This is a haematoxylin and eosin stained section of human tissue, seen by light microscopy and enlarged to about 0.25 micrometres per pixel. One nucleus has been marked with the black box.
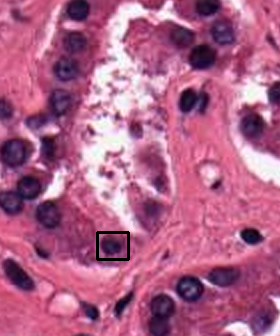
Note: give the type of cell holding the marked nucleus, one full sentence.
The marked nucleus is contained in a proximal tubule cell.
